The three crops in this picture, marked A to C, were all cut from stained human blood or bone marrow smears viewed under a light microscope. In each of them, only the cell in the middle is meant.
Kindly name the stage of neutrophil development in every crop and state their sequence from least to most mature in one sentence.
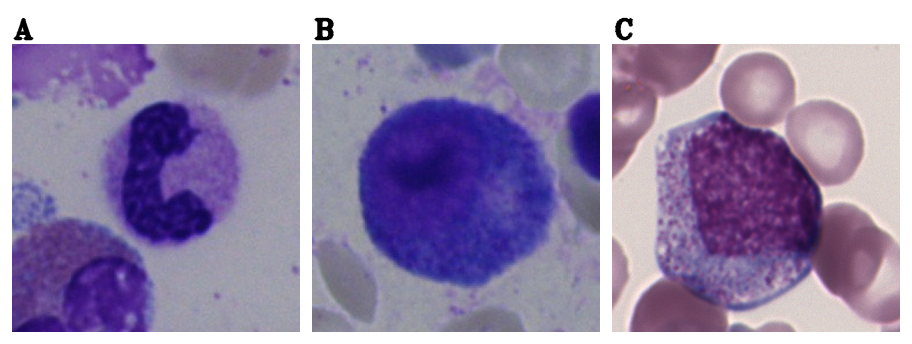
Listed from least to most mature, the crops read crop B (a promyelocyte), crop C (a myelocyte) and crop A (a segmented neutrophil).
